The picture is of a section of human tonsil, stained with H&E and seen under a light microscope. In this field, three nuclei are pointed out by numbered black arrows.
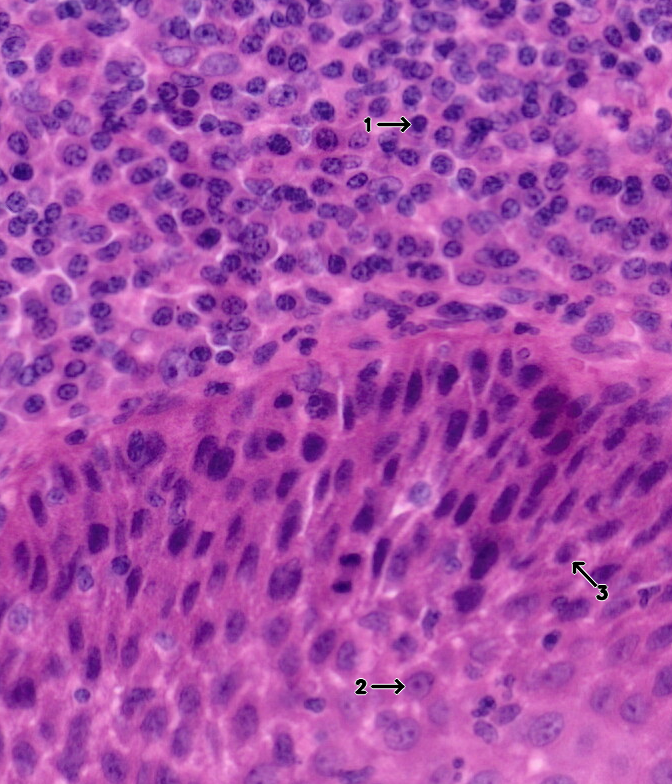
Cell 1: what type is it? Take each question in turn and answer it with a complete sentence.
The expected answer is that cell 1 is a plasma cell.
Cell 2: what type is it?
The cell indicated with the number 2 is classed as a squamous epithelial cell.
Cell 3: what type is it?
The nucleus labeled 3 belongs to a squamous epithelial cell.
